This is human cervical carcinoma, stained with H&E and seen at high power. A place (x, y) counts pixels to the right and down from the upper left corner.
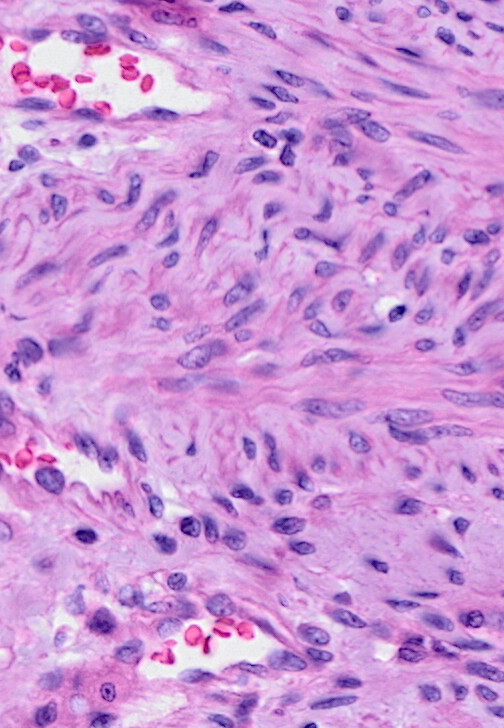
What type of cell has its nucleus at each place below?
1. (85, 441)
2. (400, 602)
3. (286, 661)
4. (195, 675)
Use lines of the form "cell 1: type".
cell 1: endothelial cell
cell 2: fibroblast
cell 3: endothelial cell
cell 4: endothelial cell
